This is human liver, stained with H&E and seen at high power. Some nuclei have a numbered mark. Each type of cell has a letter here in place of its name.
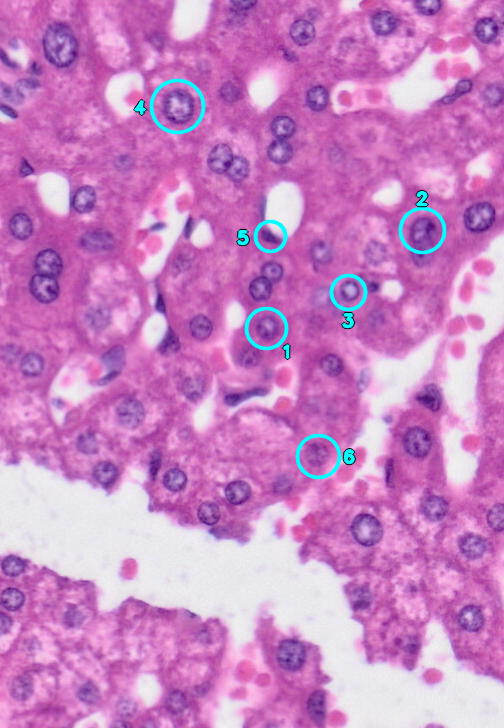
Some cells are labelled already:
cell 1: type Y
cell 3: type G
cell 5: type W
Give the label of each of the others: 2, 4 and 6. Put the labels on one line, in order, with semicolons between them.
type Y; type Y; type Y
